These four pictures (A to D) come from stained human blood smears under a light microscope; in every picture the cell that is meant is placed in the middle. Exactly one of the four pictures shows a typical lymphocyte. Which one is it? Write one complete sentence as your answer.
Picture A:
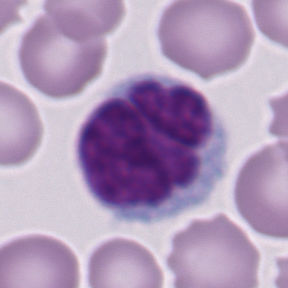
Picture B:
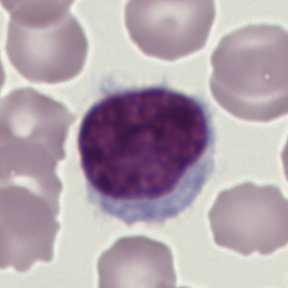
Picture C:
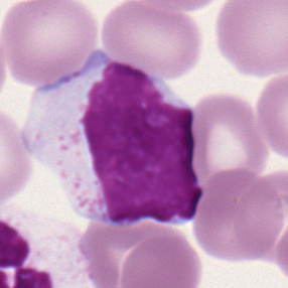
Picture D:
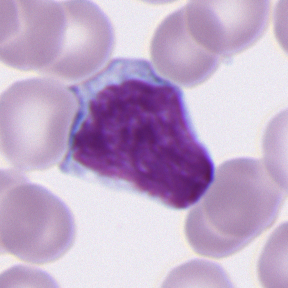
Picture D shows the typical lymphocyte.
